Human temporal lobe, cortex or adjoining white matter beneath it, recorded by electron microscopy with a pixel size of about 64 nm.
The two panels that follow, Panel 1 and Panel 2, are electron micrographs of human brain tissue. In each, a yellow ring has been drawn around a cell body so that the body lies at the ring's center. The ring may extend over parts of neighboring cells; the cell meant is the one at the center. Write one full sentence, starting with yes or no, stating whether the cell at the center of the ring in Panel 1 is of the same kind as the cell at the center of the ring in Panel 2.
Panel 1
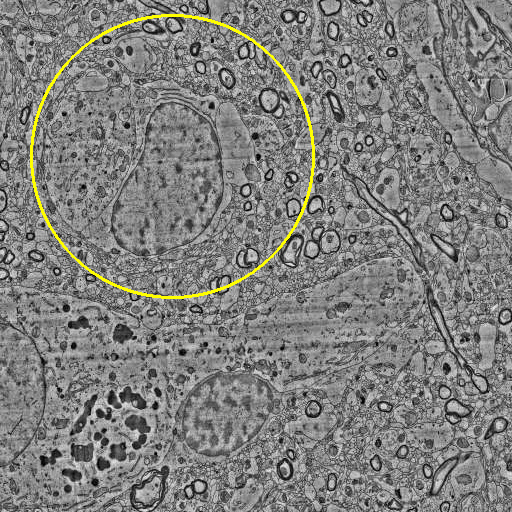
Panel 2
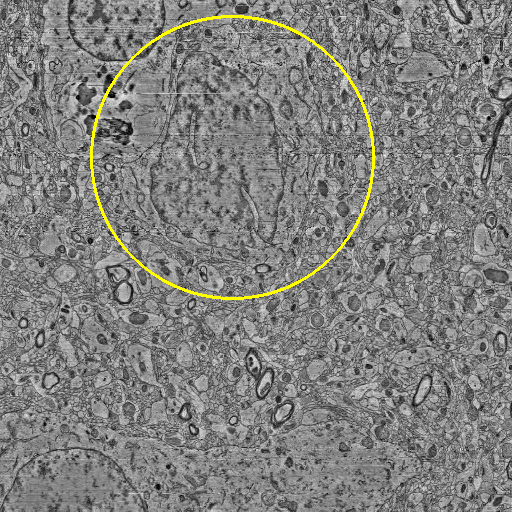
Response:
No, the cells in the two panels are of two kinds.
